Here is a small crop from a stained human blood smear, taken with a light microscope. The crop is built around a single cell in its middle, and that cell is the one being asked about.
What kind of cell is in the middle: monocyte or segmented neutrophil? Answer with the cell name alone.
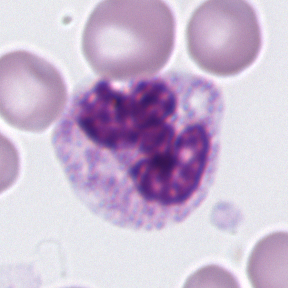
segmented neutrophil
